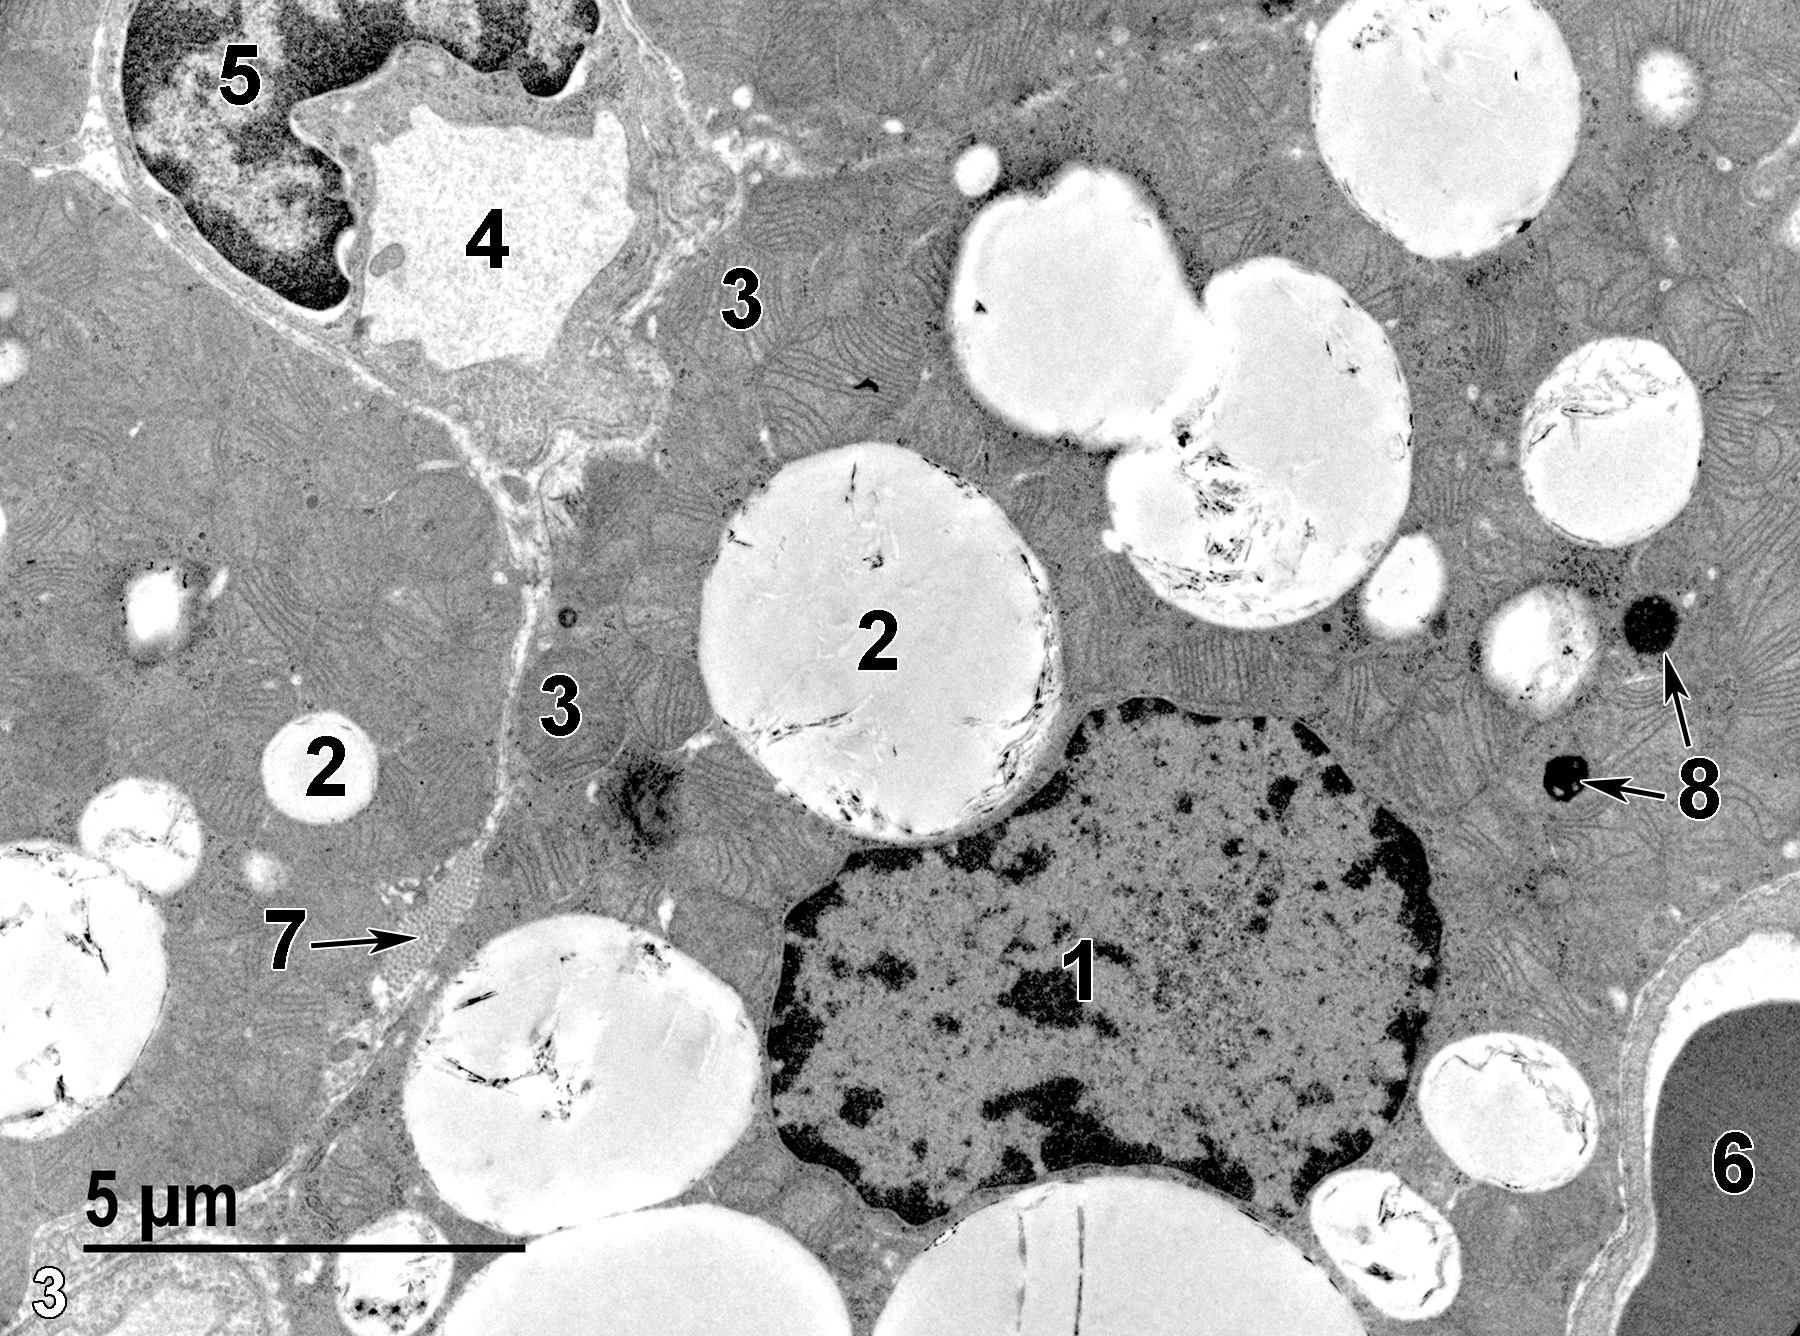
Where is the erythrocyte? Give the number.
6.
